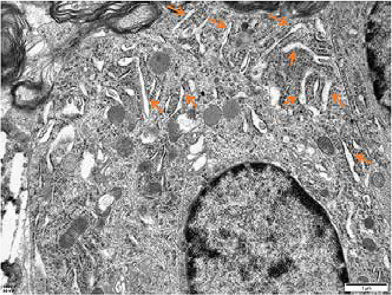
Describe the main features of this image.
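In the upper cytoplasm, many endoplasmic reticulum cisternae appear as elongated, pale, widened, swollen profiles, lying among rounded, darker mitochondria. Myelinated processes with dark, layered sheaths border the cell at the upper left.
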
